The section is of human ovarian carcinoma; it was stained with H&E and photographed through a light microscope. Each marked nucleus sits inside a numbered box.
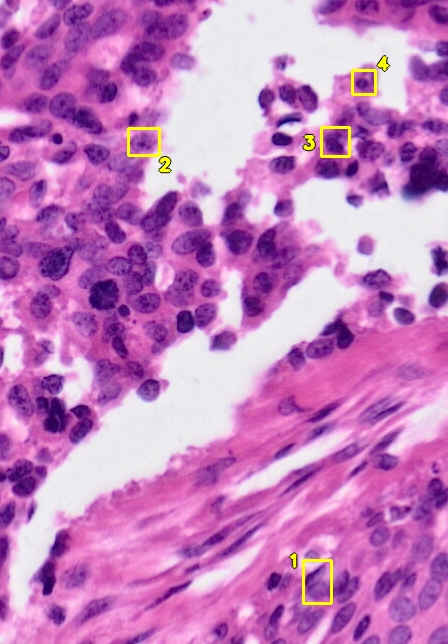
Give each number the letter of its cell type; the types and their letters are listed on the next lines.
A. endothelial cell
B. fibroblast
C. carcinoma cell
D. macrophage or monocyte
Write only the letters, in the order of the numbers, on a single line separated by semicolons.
C; D; C; D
